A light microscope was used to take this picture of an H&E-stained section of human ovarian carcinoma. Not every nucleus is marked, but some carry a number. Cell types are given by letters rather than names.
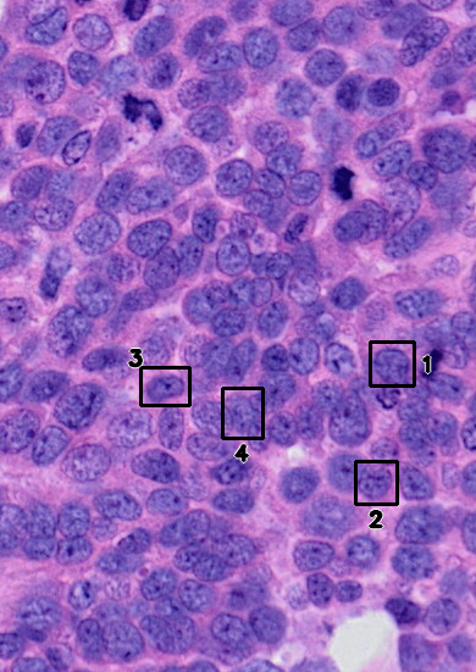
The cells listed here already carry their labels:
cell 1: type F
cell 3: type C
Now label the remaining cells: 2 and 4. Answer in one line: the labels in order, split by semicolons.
type F; type F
